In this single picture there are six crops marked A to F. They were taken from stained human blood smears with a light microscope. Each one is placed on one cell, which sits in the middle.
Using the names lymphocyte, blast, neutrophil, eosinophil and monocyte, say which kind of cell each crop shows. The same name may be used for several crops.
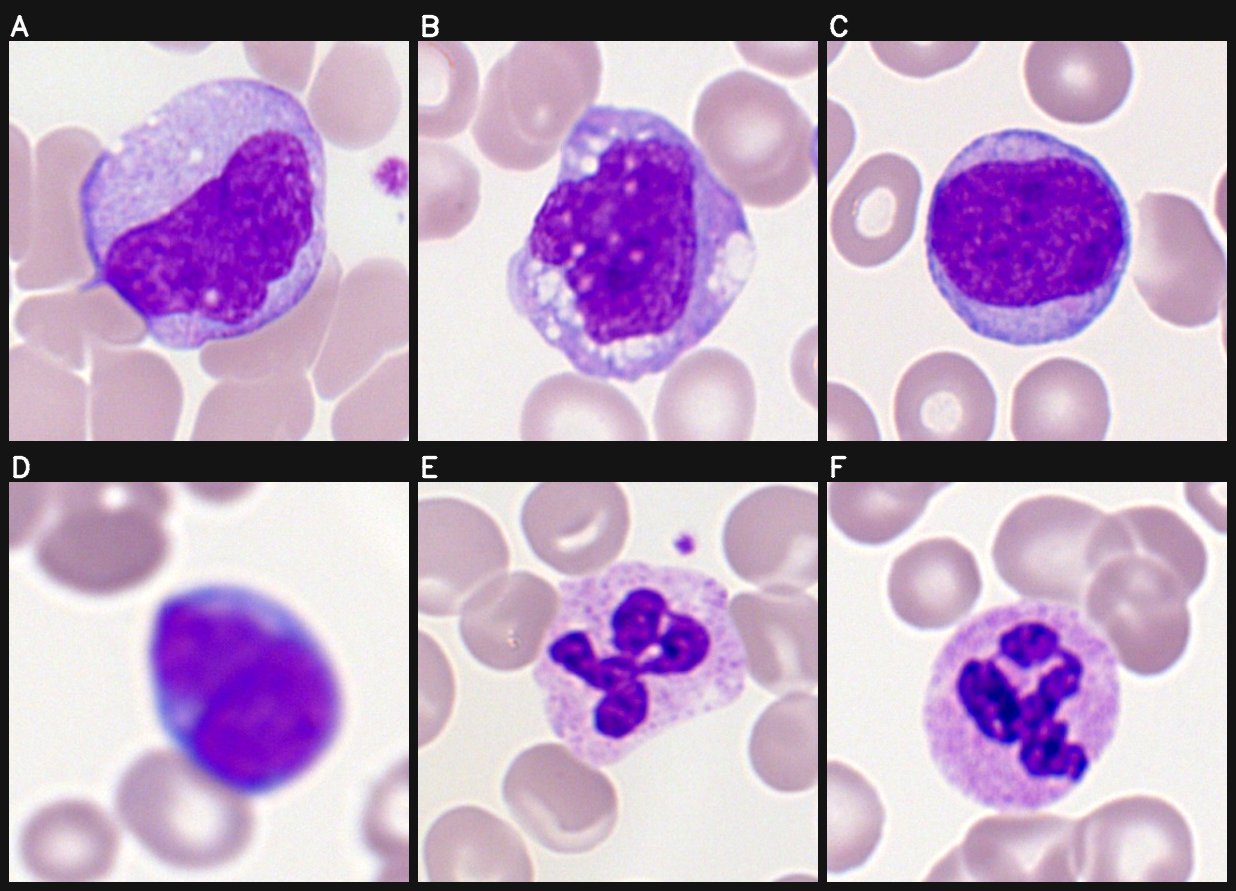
A: monocyte
B: monocyte
C: blast
D: blast
E: neutrophil
F: neutrophil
